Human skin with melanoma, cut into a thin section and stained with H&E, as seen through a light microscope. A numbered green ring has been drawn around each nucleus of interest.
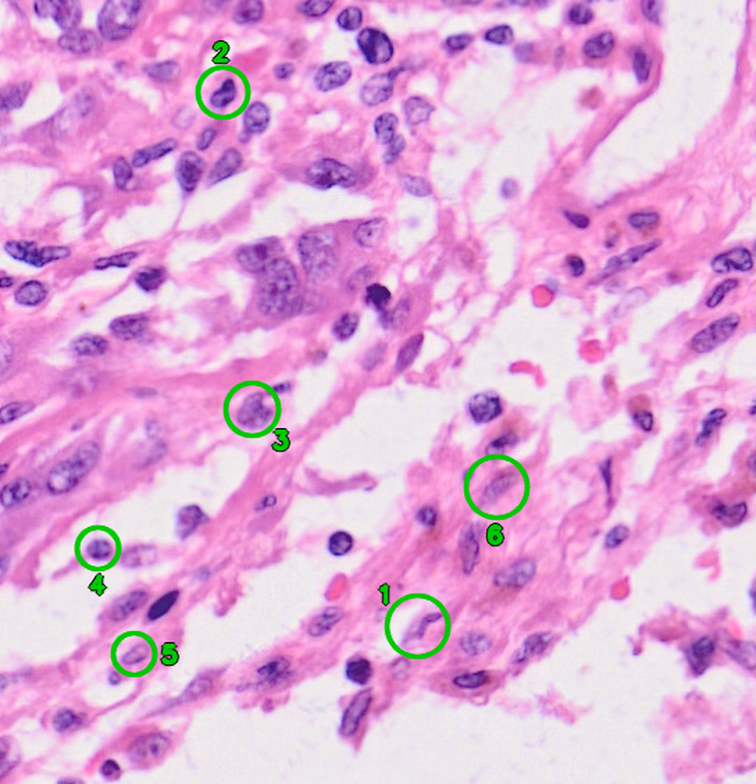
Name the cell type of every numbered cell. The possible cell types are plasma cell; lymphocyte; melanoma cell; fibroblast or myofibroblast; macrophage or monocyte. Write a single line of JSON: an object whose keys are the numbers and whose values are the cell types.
{"1": "fibroblast or myofibroblast", "2": "lymphocyte", "3": "macrophage or monocyte", "4": "lymphocyte", "5": "macrophage or monocyte", "6": "macrophage or monocyte"}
